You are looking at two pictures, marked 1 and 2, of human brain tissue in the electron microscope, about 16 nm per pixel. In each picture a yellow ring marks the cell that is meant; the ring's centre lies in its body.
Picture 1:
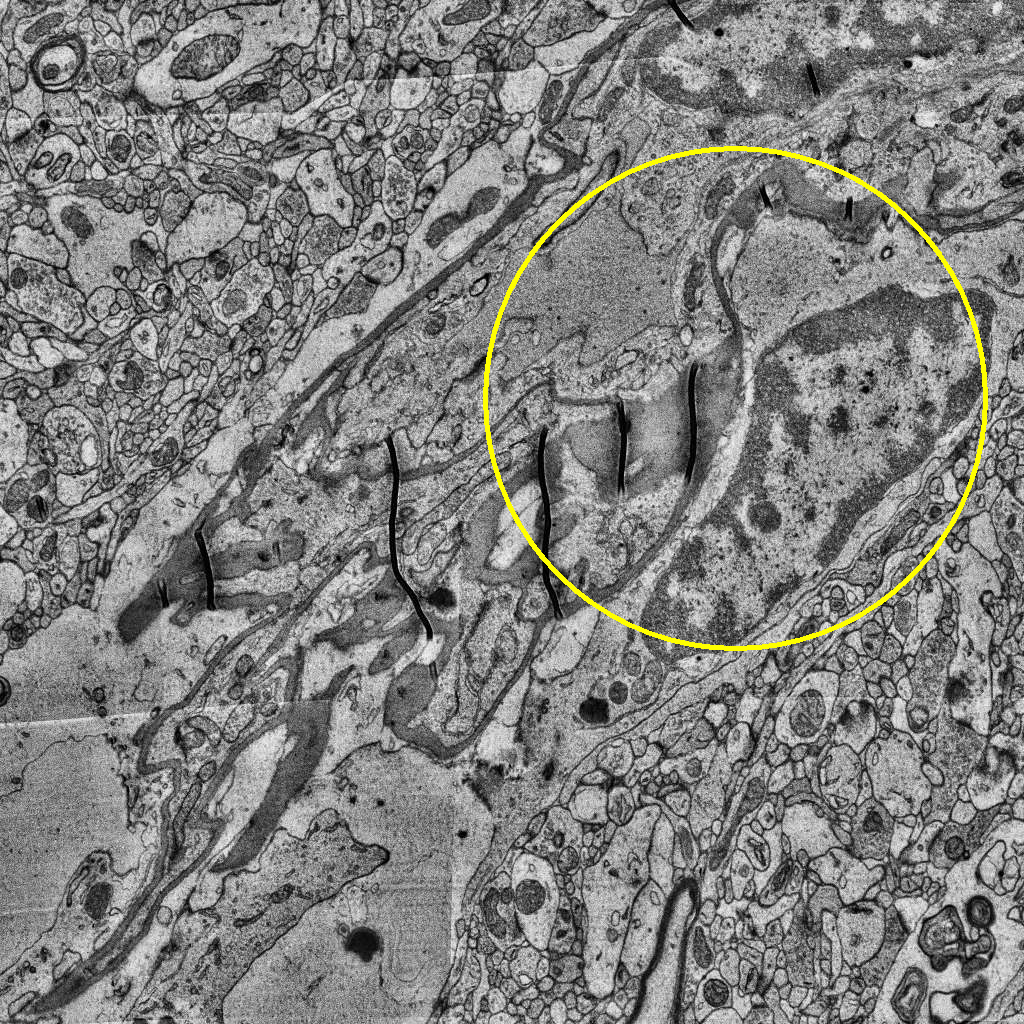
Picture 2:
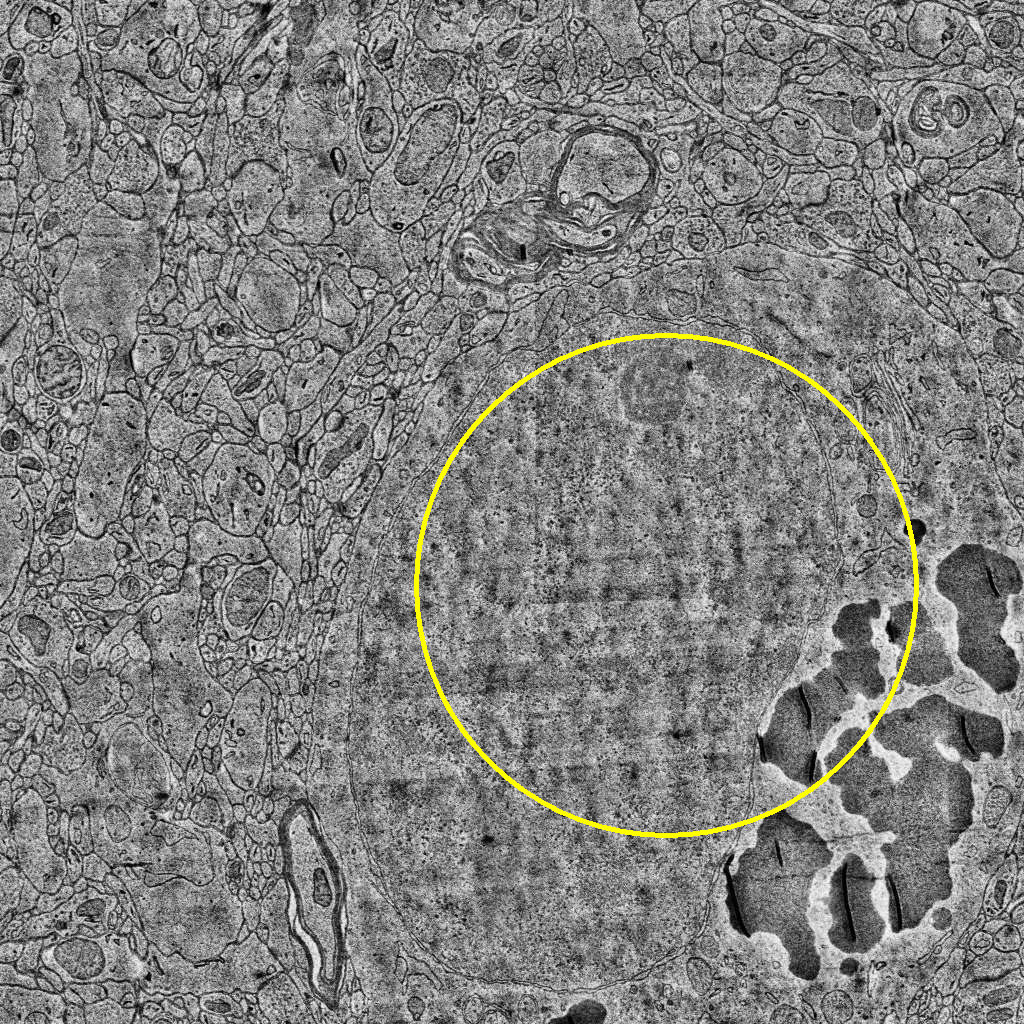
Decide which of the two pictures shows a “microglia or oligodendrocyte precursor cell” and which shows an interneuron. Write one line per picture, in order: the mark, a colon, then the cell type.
1: microglia or oligodendrocyte precursor cell
2: interneuron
